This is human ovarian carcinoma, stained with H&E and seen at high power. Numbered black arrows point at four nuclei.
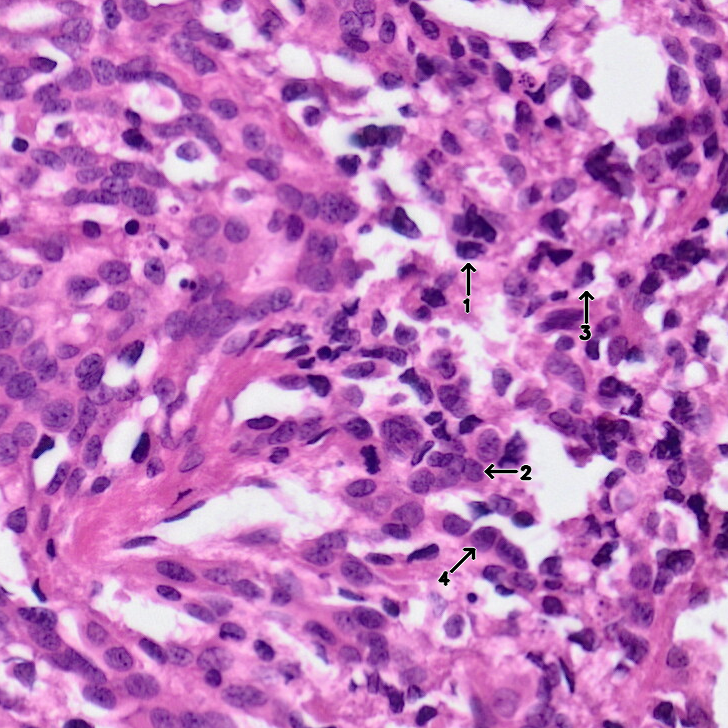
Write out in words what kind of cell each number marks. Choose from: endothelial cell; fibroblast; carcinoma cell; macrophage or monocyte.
Cells 1, 2 and 4 are carcinoma cells. Cell 3 is a macrophage or monocyte.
